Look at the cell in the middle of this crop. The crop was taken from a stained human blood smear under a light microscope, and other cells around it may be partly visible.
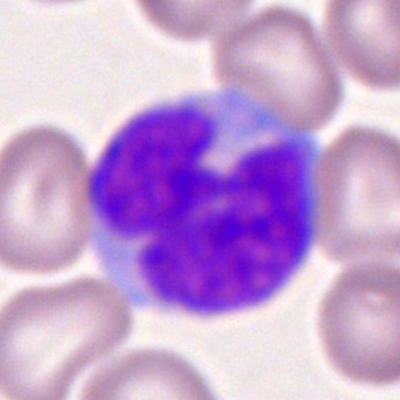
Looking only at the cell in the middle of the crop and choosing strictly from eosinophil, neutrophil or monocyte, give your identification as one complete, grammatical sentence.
As for the cell in the middle, it is a monocyte.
